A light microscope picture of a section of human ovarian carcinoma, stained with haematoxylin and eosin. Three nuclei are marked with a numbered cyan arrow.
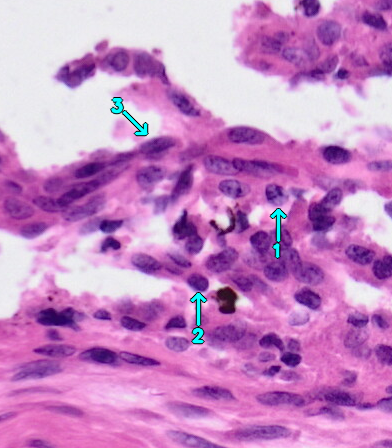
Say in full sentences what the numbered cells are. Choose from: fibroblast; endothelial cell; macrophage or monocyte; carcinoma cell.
Cell 1 is a macrophage or monocyte. Cells 2 and 3 are carcinoma cells.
